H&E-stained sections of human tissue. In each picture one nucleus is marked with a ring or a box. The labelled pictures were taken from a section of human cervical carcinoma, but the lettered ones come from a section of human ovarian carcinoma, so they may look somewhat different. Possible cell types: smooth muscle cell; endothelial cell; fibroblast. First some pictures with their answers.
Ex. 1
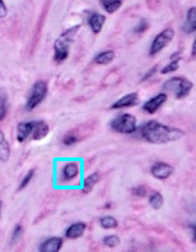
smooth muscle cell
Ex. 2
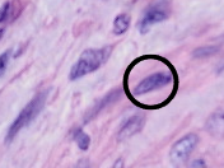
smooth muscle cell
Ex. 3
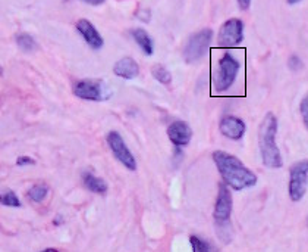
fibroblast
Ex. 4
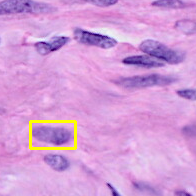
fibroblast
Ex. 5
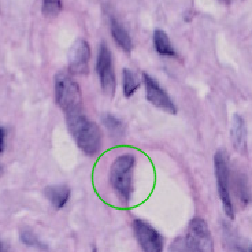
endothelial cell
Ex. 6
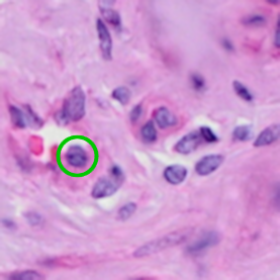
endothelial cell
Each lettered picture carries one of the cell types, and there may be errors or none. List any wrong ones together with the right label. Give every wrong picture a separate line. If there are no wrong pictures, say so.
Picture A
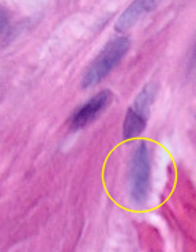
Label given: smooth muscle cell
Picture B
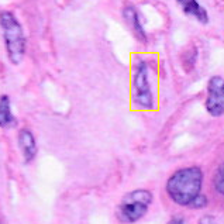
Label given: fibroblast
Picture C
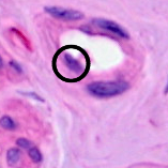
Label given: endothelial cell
All correct.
